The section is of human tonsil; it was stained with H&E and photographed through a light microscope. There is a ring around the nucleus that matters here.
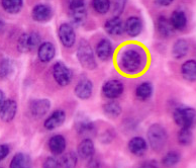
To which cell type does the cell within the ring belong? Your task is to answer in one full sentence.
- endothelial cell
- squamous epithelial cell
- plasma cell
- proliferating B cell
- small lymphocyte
At the level of cell identity, the cell within the ring is a plasma cell.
